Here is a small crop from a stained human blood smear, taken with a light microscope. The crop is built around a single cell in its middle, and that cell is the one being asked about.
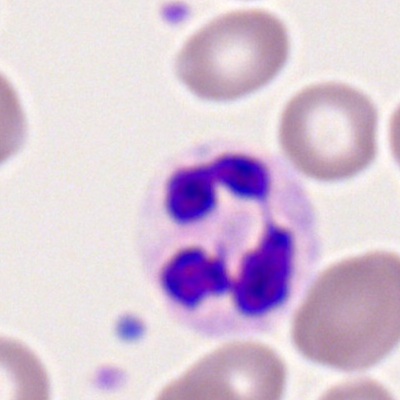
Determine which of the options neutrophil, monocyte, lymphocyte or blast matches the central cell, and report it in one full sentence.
At the middle of the frame sits a neutrophil.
